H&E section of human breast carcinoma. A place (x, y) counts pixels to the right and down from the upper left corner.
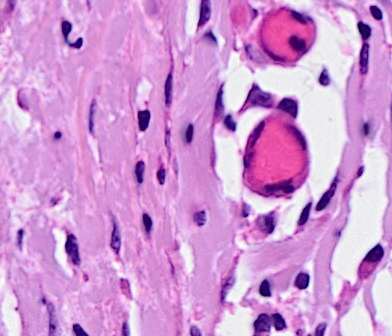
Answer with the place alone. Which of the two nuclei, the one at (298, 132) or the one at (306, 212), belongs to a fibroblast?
(306, 212)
